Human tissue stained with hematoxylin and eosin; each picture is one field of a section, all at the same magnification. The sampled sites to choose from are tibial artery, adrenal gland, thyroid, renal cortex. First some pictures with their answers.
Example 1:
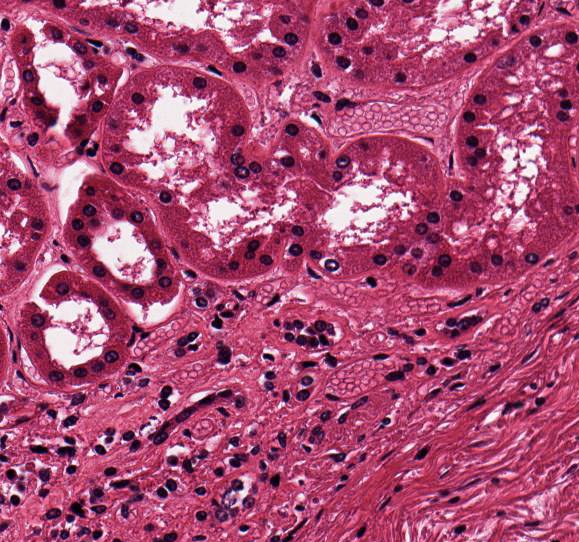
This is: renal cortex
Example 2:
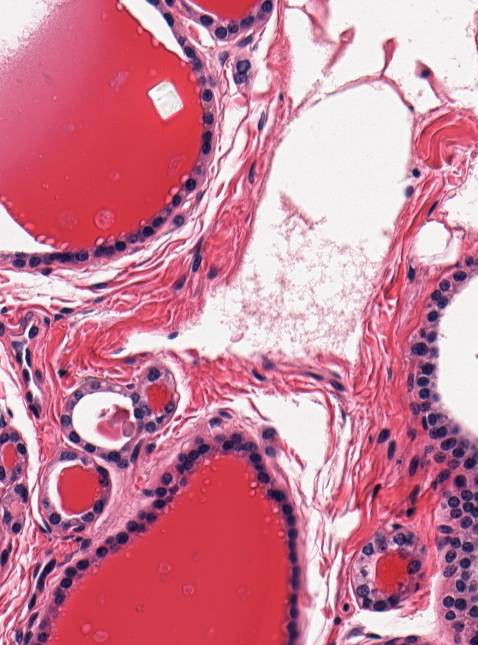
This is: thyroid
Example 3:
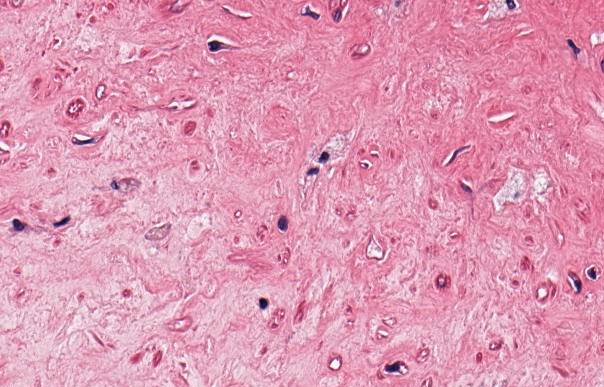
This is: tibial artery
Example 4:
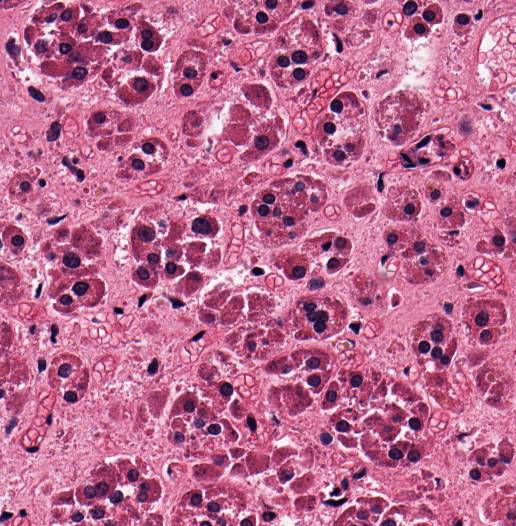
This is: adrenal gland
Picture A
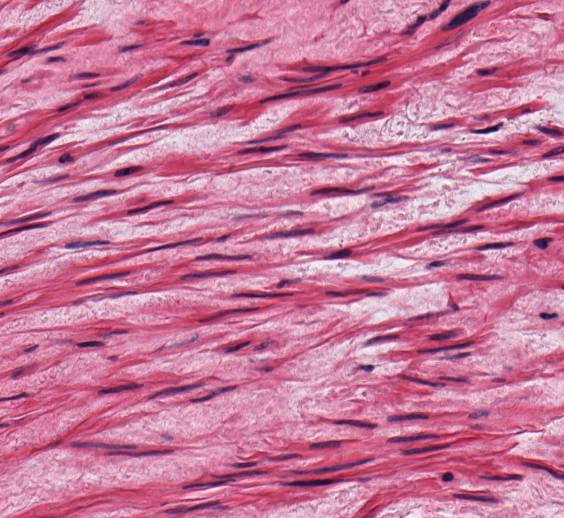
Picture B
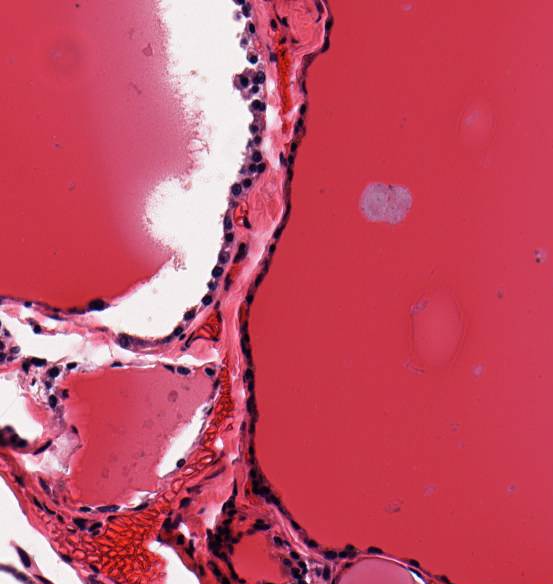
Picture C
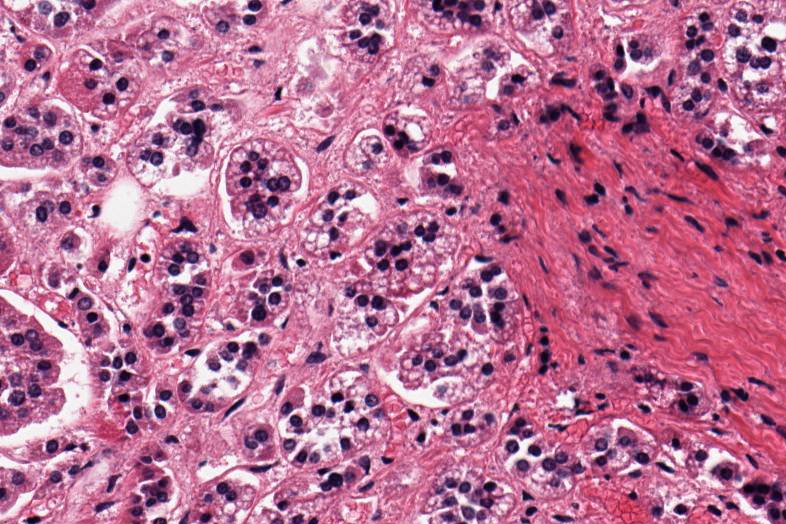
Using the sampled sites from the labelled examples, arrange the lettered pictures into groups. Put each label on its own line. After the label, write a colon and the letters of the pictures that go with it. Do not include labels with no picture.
tibial artery: A
adrenal gland: C
thyroid: B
